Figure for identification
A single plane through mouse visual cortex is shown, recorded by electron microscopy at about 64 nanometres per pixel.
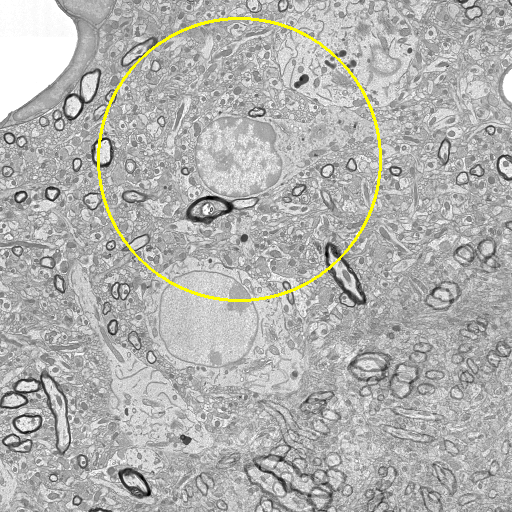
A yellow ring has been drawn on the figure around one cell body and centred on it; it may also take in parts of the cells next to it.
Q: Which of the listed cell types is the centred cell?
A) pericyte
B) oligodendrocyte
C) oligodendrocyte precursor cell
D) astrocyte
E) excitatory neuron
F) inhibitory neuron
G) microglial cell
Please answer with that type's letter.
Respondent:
B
